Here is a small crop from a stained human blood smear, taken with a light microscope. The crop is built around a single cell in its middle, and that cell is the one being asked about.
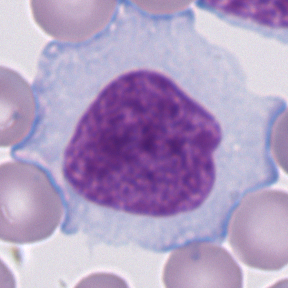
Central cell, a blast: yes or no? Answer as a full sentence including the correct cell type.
Yes, the cell that the crop is centered on is a blast.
